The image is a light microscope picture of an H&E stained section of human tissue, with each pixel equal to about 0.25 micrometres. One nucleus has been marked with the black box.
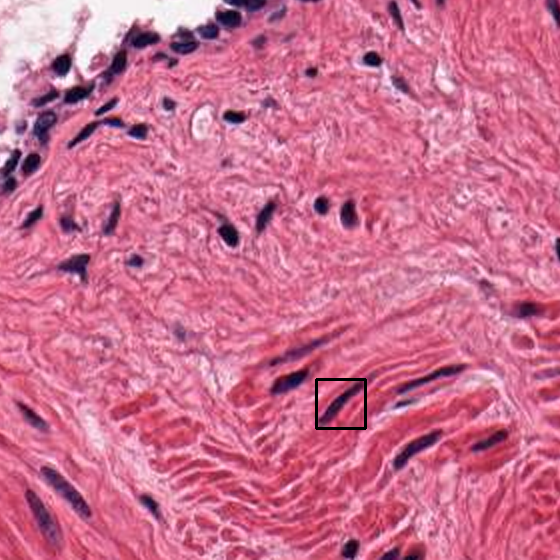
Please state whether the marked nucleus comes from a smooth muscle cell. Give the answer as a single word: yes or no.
yes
